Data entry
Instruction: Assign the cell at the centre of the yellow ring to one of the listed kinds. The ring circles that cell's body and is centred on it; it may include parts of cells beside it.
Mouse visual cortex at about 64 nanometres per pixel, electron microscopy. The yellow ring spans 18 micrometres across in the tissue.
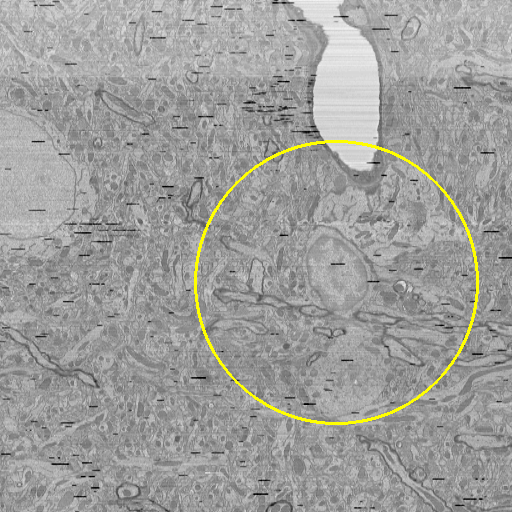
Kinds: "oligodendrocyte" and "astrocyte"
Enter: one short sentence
The centre of the ring falls on an oligodendrocyte.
